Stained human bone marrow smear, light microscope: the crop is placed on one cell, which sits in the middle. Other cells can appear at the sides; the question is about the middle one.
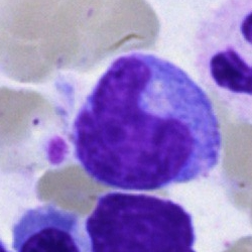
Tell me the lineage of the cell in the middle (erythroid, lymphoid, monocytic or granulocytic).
monocytic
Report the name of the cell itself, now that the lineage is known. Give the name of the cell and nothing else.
monocyte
